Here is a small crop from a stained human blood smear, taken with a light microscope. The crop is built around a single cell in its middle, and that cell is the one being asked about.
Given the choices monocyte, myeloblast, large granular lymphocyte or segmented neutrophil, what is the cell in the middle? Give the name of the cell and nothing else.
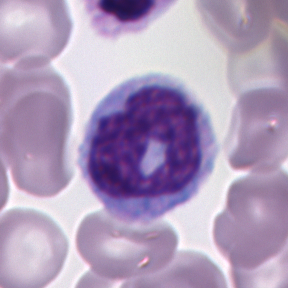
monocyte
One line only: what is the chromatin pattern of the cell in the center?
Thanks for asking; the chromatin is coarsely clumped.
